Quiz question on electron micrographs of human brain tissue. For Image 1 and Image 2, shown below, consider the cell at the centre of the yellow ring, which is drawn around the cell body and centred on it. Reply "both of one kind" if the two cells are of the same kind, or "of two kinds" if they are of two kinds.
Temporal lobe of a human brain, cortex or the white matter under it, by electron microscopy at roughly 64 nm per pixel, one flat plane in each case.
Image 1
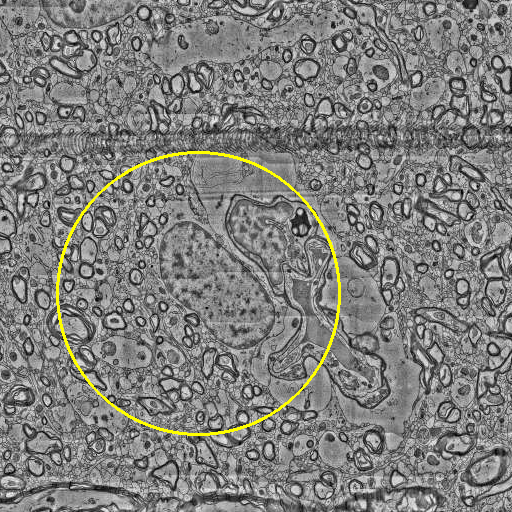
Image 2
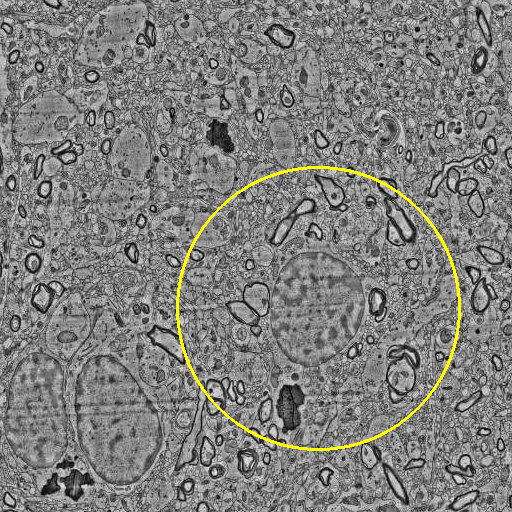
of two kinds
